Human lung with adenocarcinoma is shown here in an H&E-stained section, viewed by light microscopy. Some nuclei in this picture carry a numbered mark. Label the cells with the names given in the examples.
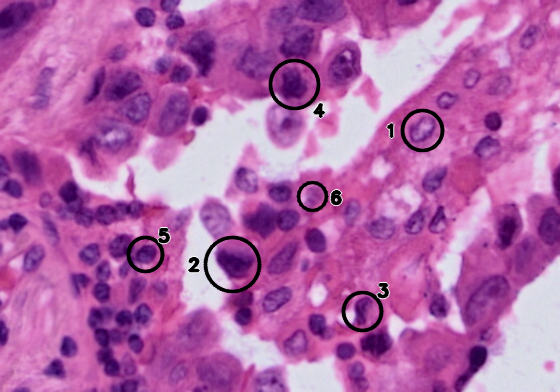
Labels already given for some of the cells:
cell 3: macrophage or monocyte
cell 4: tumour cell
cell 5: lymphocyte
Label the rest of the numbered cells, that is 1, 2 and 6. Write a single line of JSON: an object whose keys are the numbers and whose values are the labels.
{"1": "macrophage or monocyte", "2": "tumour cell", "6": "macrophage or monocyte"}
